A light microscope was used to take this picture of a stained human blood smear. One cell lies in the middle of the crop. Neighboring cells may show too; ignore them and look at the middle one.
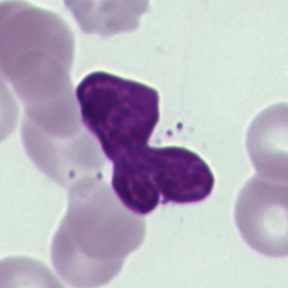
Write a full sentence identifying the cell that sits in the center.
The crop centres on a single cell, and that cell is a smudge cell.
